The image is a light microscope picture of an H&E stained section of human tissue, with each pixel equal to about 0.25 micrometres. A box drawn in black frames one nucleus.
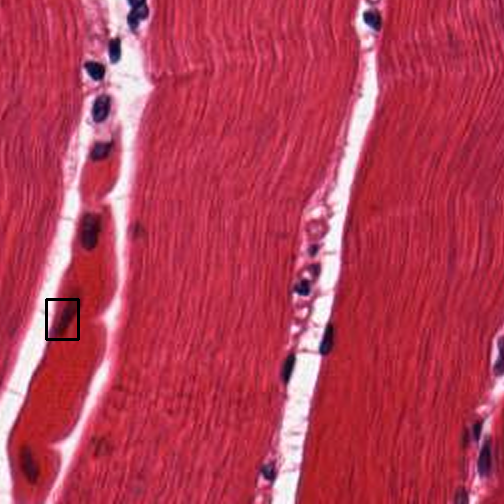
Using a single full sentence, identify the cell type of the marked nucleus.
The marked nucleus is a nucleus of a skeletal muscle fibre.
